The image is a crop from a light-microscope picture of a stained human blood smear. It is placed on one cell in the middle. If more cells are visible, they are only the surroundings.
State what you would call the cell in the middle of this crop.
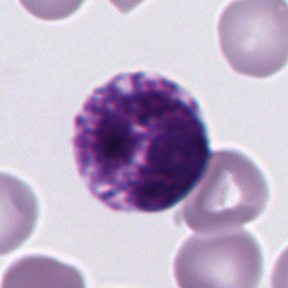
basophil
